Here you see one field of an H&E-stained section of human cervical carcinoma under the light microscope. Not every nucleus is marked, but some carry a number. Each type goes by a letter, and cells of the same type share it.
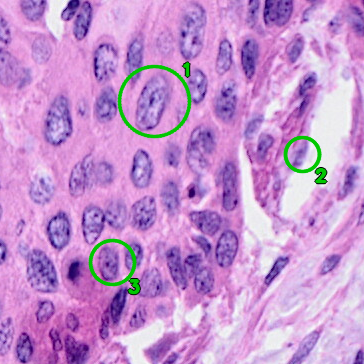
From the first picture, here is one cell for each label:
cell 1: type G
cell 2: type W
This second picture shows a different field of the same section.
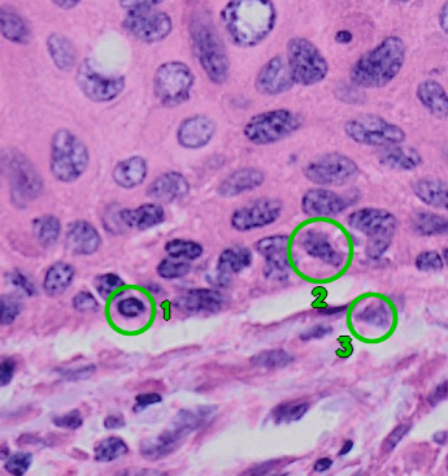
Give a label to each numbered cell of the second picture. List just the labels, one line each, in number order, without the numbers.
type G
type G
type W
